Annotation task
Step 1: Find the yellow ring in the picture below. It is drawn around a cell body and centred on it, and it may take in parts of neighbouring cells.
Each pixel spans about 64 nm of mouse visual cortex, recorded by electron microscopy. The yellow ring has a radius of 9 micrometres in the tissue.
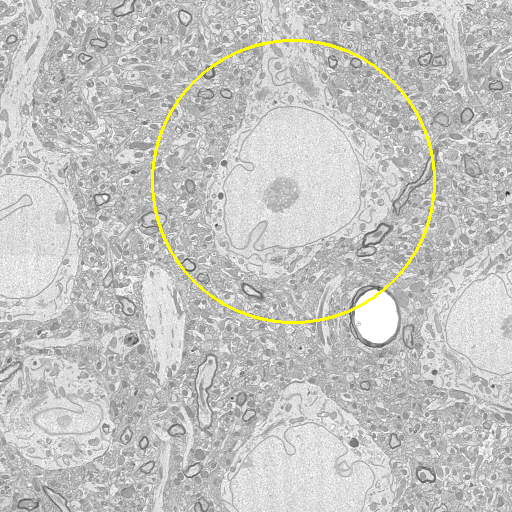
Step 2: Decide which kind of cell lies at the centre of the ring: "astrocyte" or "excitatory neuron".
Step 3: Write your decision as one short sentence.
The kind of cell at the ring's centre is an excitatory neuron.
